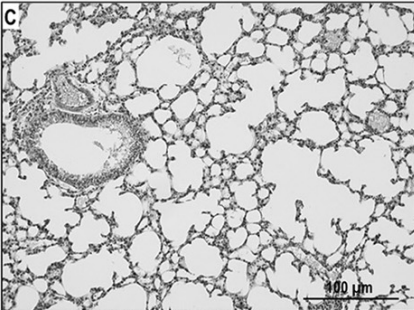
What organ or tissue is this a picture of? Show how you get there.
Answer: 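Lung parenchyma. A meshwork of thin septa encloses many small, rounded airspaces. A bronchiole with a cuffed epithelial wall and small vessels lie among the airspaces.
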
